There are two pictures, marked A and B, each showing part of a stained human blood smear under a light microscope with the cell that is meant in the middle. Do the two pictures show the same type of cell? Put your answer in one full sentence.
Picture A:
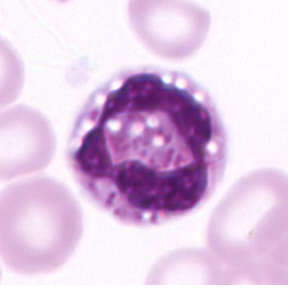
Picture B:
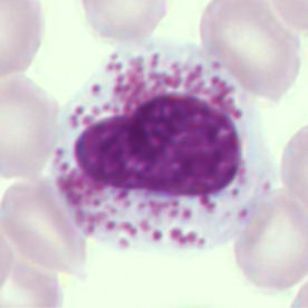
Yes, the two pictures both show eosinophils.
